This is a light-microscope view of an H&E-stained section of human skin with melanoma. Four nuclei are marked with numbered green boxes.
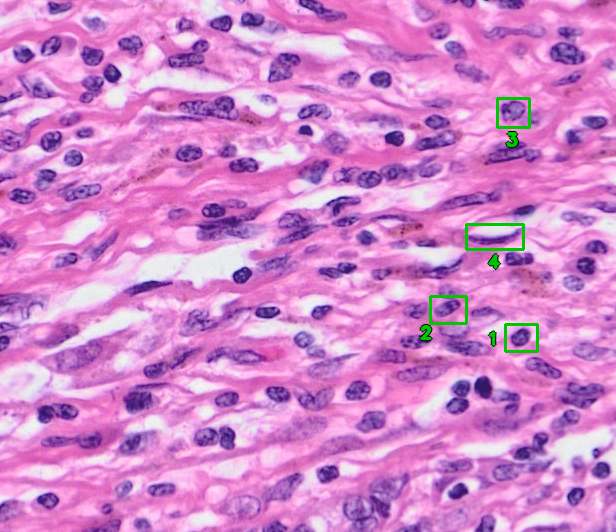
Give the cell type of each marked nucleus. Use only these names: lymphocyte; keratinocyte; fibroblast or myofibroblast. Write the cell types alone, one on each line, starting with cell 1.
lymphocyte
lymphocyte
lymphocyte
fibroblast or myofibroblast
